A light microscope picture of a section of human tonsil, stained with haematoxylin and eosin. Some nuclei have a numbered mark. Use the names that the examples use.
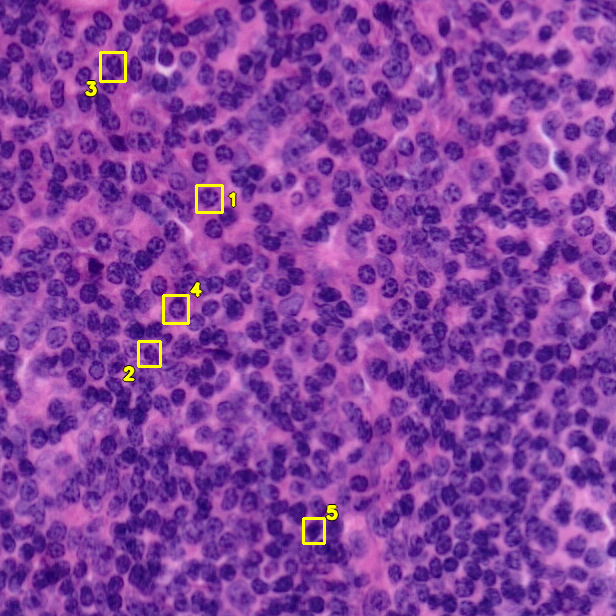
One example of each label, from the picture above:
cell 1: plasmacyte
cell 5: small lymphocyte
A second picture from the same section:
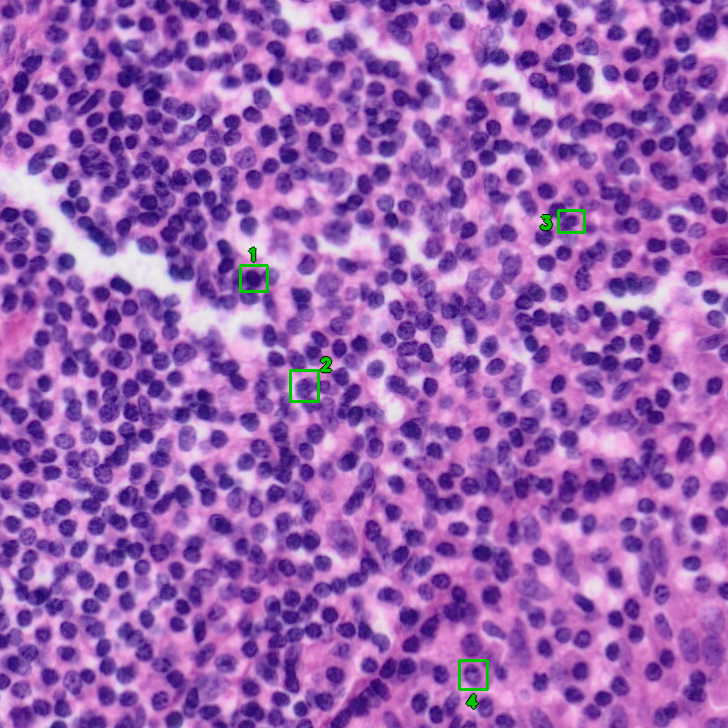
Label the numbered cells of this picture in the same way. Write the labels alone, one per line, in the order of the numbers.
small lymphocyte
small lymphocyte
small lymphocyte
plasmacyte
